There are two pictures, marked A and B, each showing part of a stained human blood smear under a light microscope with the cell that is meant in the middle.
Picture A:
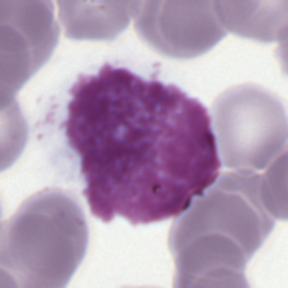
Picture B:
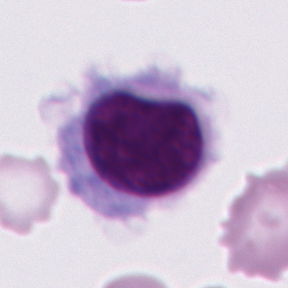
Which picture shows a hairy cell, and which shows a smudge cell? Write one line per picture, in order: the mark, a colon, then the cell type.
A: smudge cell
B: hairy cell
